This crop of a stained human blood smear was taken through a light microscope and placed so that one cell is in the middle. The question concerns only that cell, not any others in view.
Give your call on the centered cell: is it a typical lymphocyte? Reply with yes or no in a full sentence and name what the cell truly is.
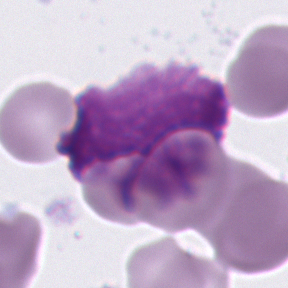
No, rather than being a typical lymphocyte, the central cell is a smudge cell.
